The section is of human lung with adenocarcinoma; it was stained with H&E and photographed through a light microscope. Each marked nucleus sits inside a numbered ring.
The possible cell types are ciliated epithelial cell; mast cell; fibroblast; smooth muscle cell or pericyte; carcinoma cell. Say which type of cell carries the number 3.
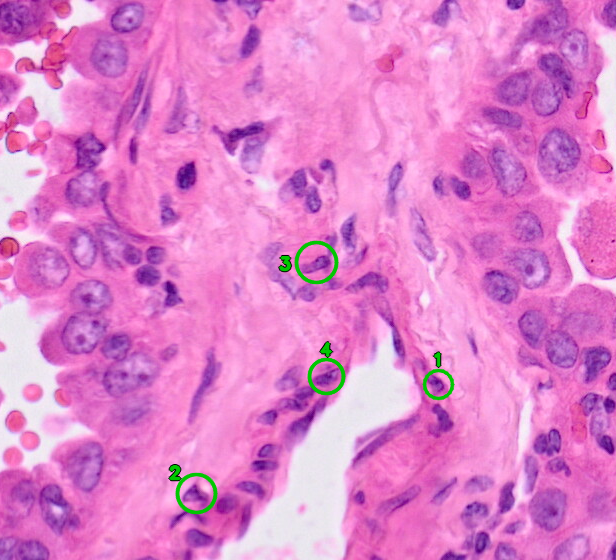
smooth muscle cell or pericyte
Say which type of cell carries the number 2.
fibroblast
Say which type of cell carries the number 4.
smooth muscle cell or pericyte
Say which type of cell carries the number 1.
smooth muscle cell or pericyte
